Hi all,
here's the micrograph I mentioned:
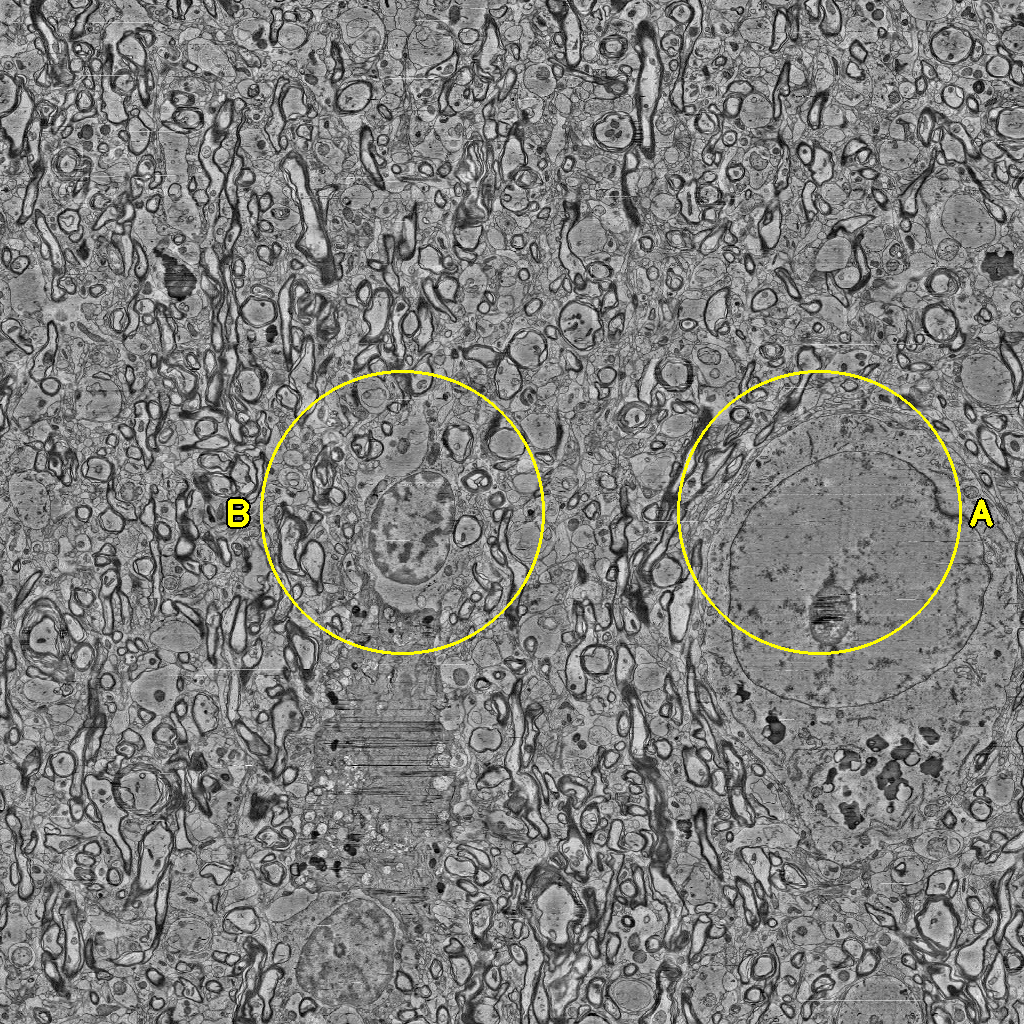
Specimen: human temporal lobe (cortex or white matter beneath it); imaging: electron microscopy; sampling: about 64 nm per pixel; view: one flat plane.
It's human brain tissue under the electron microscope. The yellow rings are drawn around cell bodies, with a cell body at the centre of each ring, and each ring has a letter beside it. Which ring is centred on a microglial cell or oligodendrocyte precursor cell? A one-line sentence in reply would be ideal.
It's the one labelled B.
